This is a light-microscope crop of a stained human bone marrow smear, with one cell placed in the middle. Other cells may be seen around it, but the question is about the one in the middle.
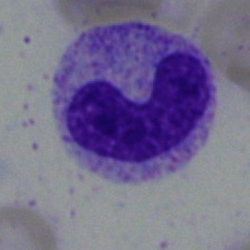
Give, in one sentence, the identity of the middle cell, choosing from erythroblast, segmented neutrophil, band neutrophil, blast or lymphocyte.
The cell centred in this crop is categorized as a band neutrophil.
